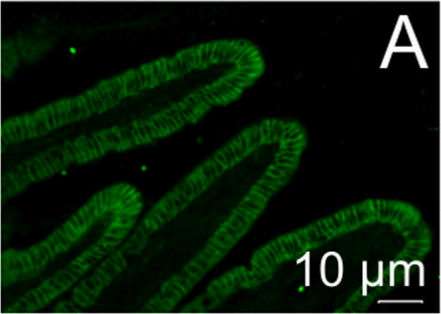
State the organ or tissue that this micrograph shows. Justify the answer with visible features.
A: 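Small intestine. Several long finger-like projections lie side by side. Each projection is covered by a single layer of tall columnar cells.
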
